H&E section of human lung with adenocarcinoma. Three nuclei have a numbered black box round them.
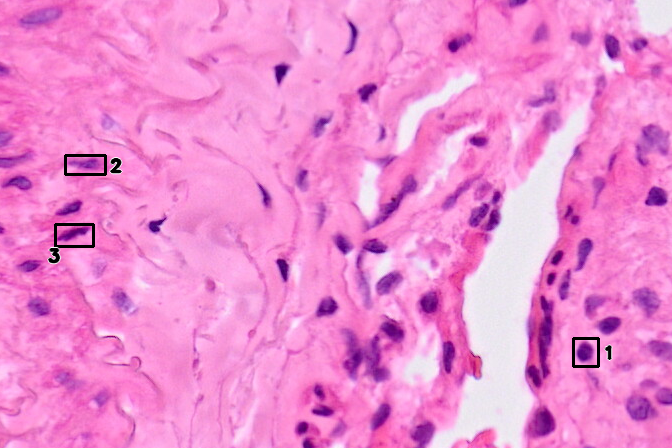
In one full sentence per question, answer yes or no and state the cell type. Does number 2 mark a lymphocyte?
No, the cell under number 2 is a smooth muscle cell or pericyte, not a lymphocyte.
